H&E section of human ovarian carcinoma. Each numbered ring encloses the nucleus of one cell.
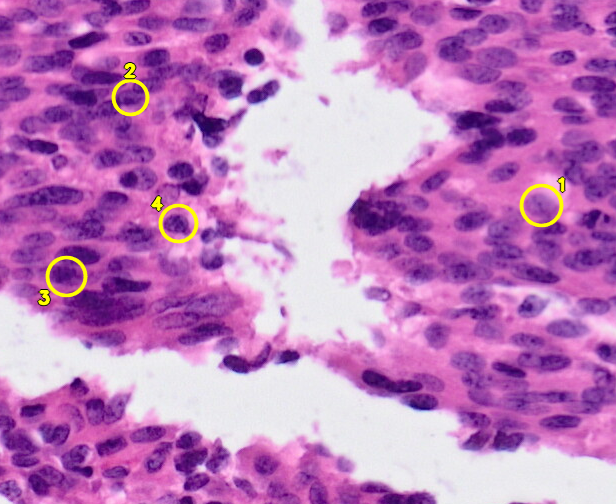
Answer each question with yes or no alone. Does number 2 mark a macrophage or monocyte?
no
